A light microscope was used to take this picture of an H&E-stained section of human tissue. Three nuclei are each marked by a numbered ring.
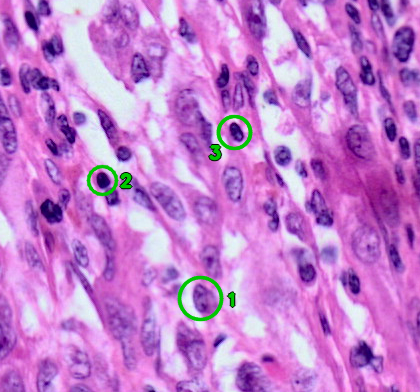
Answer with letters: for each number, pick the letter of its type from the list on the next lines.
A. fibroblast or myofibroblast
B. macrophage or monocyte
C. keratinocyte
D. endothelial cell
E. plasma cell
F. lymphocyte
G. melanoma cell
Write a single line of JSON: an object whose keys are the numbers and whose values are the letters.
{"1": "B", "2": "F", "3": "F"}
